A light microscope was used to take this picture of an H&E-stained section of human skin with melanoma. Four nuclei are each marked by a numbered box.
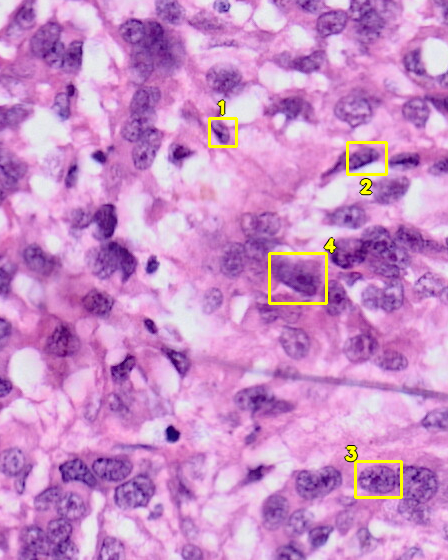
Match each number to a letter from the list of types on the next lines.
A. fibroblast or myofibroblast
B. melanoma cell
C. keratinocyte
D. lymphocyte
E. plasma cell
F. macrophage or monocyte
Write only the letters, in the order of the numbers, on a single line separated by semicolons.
F; B; B; B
